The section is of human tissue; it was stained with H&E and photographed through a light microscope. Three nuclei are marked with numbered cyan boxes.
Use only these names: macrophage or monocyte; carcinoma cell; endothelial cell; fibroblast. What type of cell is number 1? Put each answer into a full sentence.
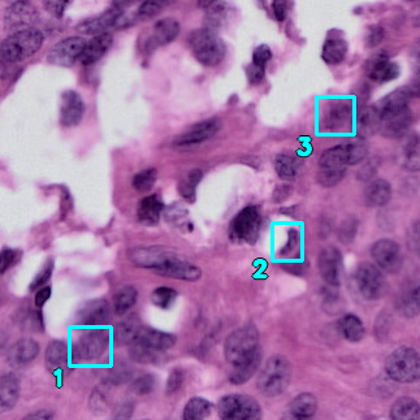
Numbered cell 1 is a carcinoma cell in this tissue section.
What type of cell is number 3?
The cell given label 3 is a carcinoma cell.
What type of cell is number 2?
At number 2, the marked cell is a macrophage or monocyte.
